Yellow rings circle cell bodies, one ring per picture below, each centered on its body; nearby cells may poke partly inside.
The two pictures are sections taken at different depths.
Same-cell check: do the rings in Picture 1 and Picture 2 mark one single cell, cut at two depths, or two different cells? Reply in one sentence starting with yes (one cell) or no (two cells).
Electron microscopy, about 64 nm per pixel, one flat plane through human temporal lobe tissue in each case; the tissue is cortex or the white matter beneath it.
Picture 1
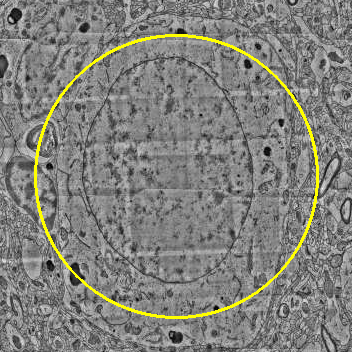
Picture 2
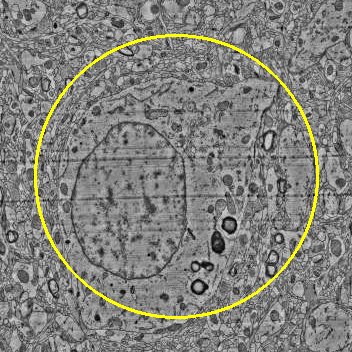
No, two cells, not one, are marked by the yellow rings.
